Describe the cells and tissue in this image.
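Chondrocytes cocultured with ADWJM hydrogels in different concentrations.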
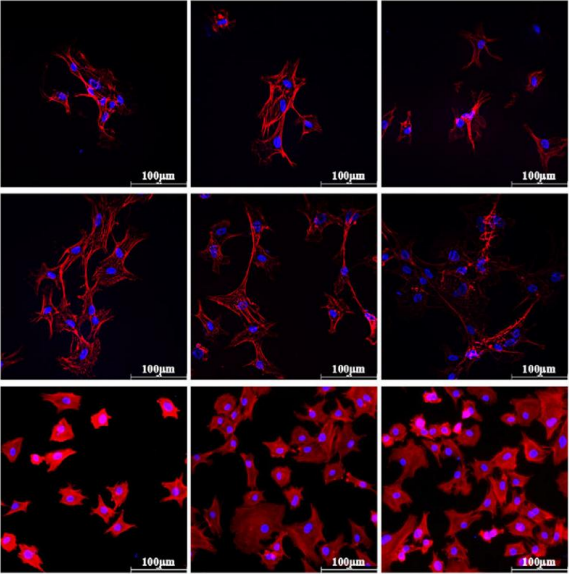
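In the upper rows the cells are spread and branched, with long thin red processes that reach out and sometimes touch neighbouring cells. Red fibres run along the length of these extensions. In the bottom row the cells look more compact and polygonal to rounded, with broad red cytoplasm and fewer long processes. They are also more densely packed.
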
